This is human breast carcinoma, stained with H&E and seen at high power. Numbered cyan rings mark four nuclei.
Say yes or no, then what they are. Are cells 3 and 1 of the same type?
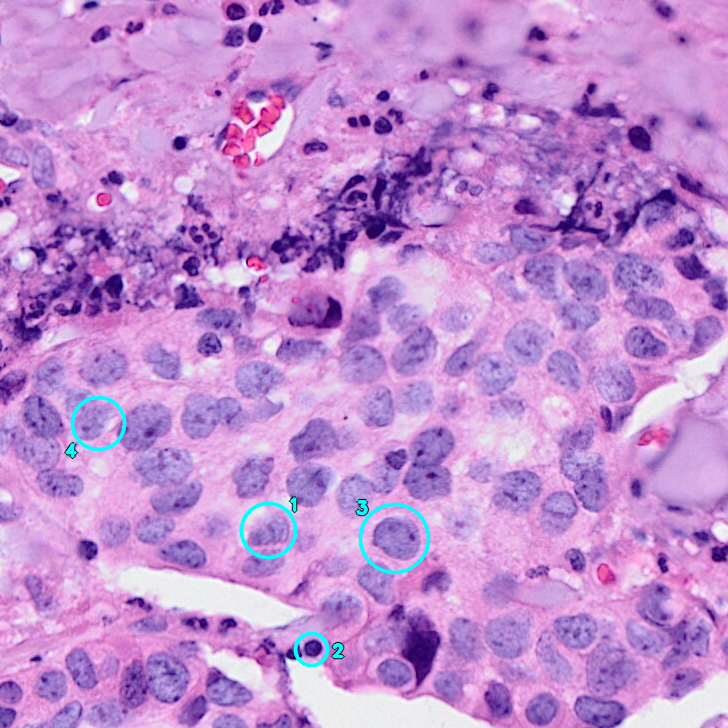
Yes, both cell 3 and cell 1 are classified as carcinoma cells.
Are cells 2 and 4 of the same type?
No, cell 2 is a lymphocyte, and cell 4 is a carcinoma cell.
